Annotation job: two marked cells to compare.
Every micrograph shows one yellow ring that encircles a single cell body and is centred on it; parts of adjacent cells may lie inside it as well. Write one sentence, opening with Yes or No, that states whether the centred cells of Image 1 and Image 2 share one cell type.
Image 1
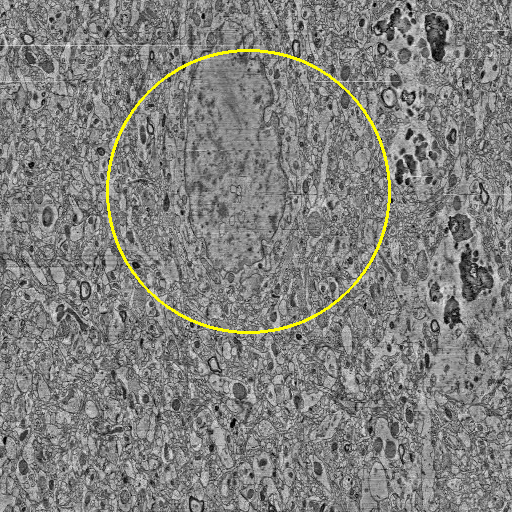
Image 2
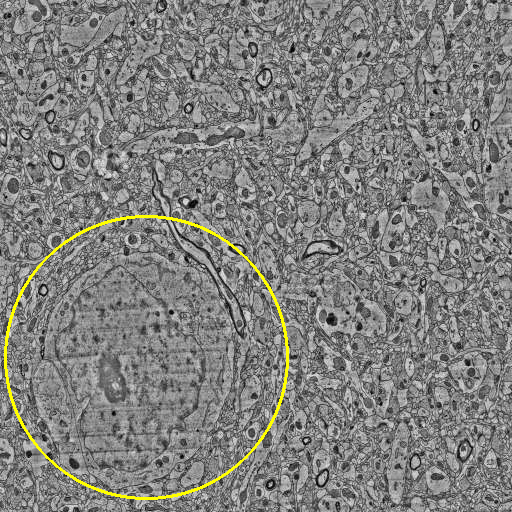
Yes, the cell centred in Image 1 shares its type with the cell centred in Image 2.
